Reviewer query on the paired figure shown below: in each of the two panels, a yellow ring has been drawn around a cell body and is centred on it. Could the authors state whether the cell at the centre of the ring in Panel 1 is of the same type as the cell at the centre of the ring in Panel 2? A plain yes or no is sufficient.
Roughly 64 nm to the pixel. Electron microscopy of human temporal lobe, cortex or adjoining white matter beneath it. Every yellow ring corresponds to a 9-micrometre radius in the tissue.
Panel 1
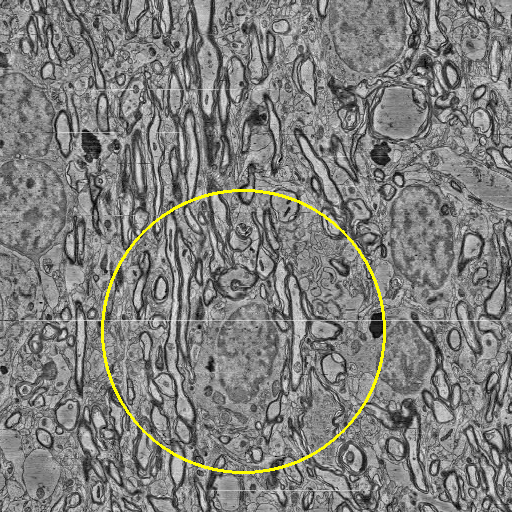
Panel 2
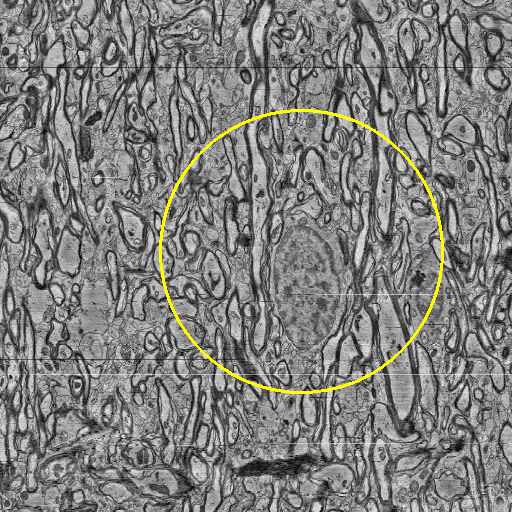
yes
